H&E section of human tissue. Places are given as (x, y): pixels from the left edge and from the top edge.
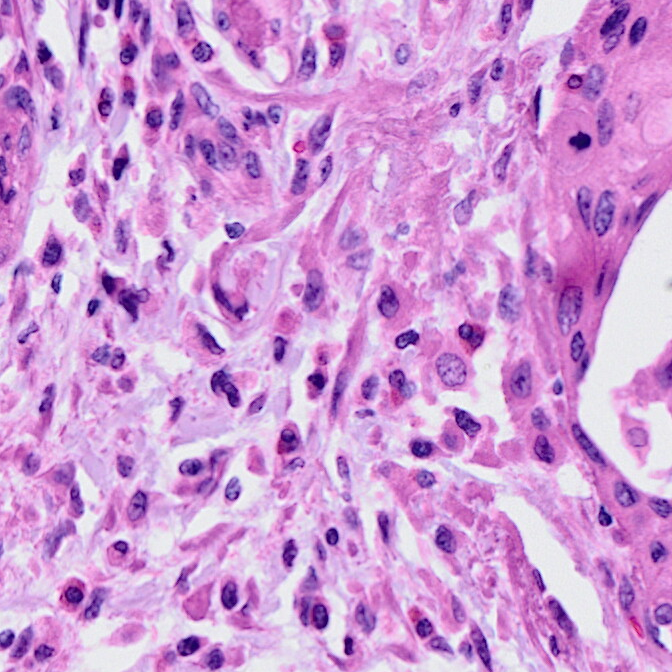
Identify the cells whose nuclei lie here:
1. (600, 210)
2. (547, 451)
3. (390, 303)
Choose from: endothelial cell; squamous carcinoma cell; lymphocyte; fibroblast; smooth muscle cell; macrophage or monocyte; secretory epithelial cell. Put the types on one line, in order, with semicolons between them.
squamous carcinoma cell; macrophage or monocyte; macrophage or monocyte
